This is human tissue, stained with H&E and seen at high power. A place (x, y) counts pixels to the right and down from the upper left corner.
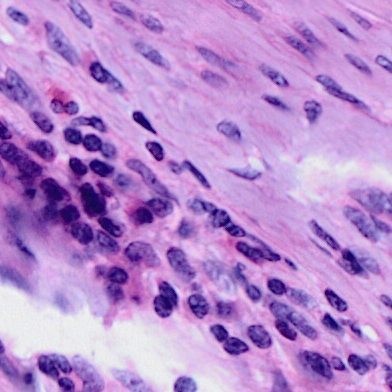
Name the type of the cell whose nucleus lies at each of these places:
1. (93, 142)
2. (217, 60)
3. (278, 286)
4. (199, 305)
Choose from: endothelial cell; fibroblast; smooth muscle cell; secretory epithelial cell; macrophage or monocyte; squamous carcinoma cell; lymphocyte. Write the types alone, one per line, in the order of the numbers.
lymphocyte
smooth muscle cell
lymphocyte
lymphocyte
